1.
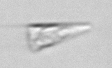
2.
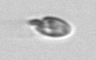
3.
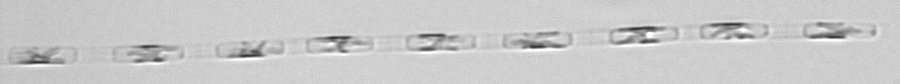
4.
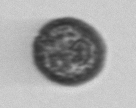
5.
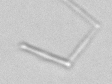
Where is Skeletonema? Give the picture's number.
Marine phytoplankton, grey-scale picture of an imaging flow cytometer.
3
